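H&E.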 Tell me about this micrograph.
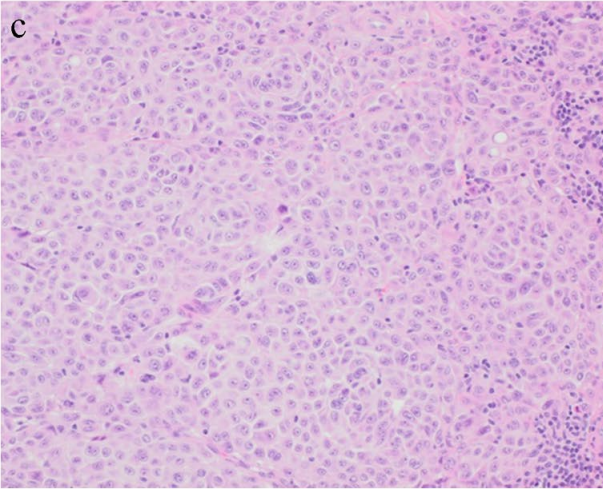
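The cells are polygonal with abundant pale pink cytoplasm and fairly distinct borders, and they lie in a solid sheet without glands or fascicles. Their nuclei are round to oval, vesicular, with prominent nucleoli, and vary somewhat in size. Along the right edge and in small foci there are clusters of small dark round lymphocytes, standing out against the paler tumour cells. No stromal bands divide the sheet into distinct compartments here.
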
